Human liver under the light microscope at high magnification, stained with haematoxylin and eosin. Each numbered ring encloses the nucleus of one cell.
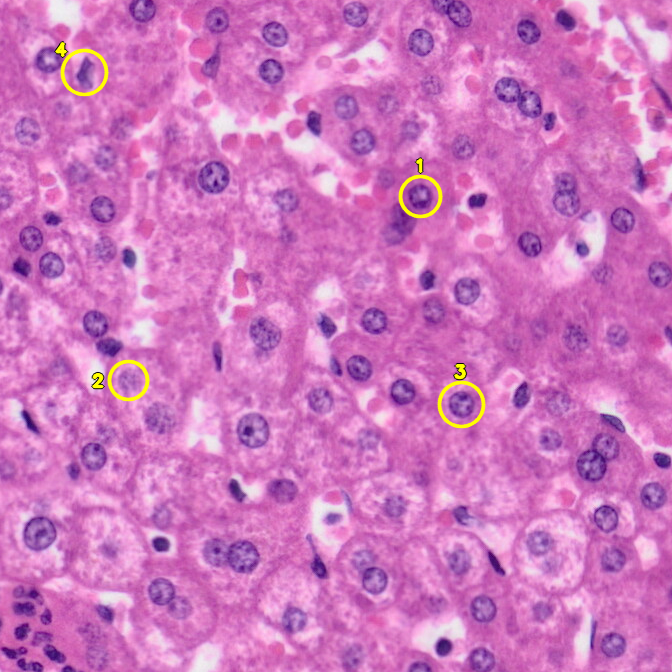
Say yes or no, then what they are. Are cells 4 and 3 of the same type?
No, cell 3 is a hepatocyte, whereas cell 4 is an endothelial cell.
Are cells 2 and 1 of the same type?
Yes, sure, cells 2 and 1 are both hepatocytes.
